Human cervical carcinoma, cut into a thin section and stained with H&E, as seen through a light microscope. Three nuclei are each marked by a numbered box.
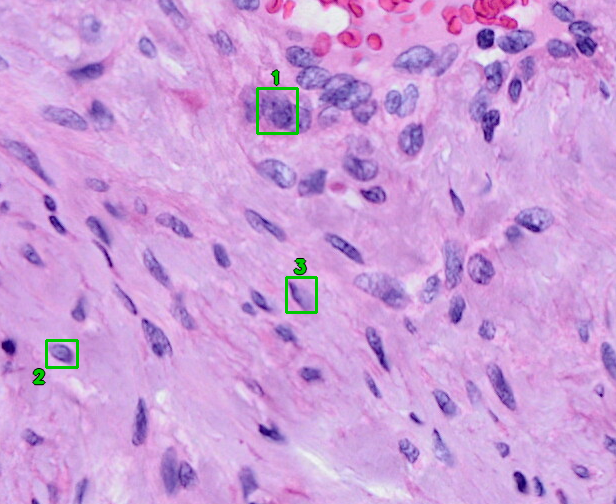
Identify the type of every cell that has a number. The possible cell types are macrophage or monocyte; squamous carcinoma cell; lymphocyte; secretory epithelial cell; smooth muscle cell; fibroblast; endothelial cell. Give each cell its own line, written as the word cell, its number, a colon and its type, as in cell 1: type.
cell 1: endothelial cell
cell 2: fibroblast
cell 3: smooth muscle cell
